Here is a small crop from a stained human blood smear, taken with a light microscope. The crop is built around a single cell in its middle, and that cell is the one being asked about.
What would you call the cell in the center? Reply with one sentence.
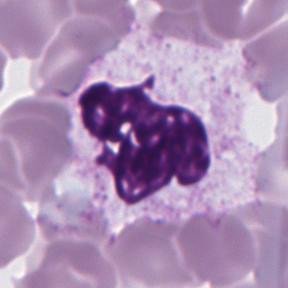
The middle cell in this particular crop is a segmented neutrophil.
